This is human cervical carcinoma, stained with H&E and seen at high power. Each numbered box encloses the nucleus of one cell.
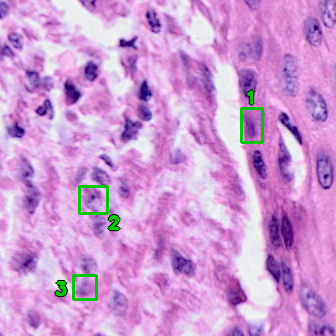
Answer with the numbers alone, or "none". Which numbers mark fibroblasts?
2, 3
